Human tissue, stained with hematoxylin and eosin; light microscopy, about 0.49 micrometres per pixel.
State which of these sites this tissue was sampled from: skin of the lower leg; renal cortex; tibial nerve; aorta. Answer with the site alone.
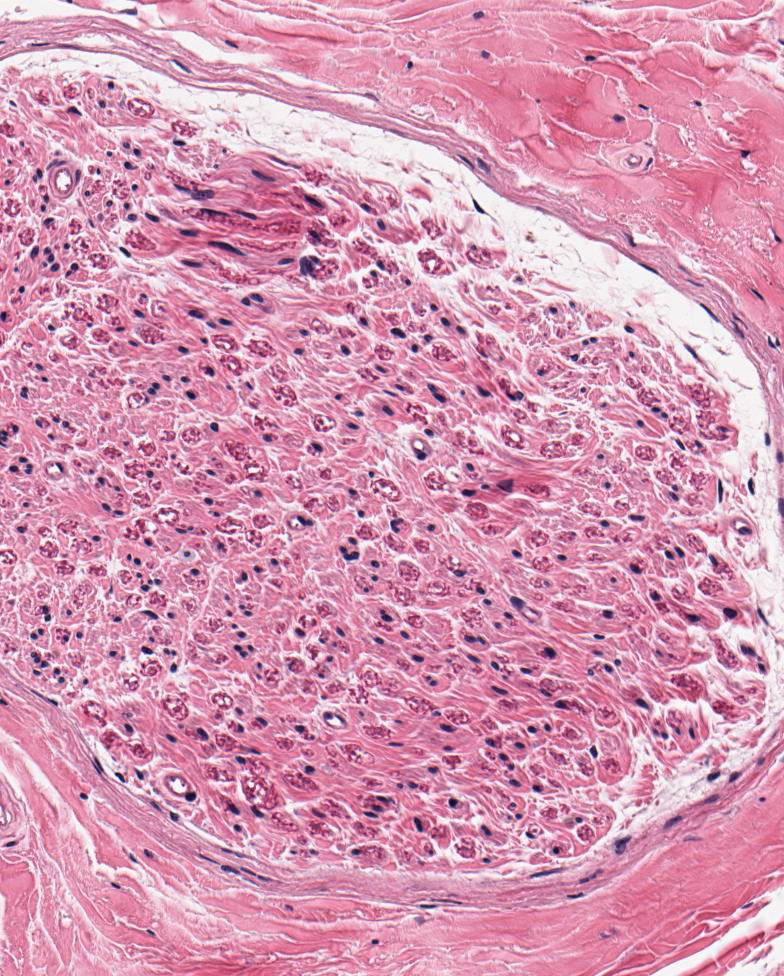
tibial nerve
